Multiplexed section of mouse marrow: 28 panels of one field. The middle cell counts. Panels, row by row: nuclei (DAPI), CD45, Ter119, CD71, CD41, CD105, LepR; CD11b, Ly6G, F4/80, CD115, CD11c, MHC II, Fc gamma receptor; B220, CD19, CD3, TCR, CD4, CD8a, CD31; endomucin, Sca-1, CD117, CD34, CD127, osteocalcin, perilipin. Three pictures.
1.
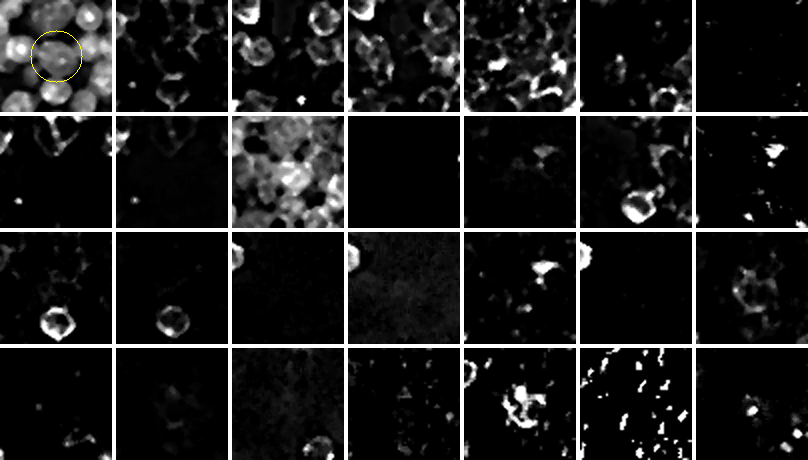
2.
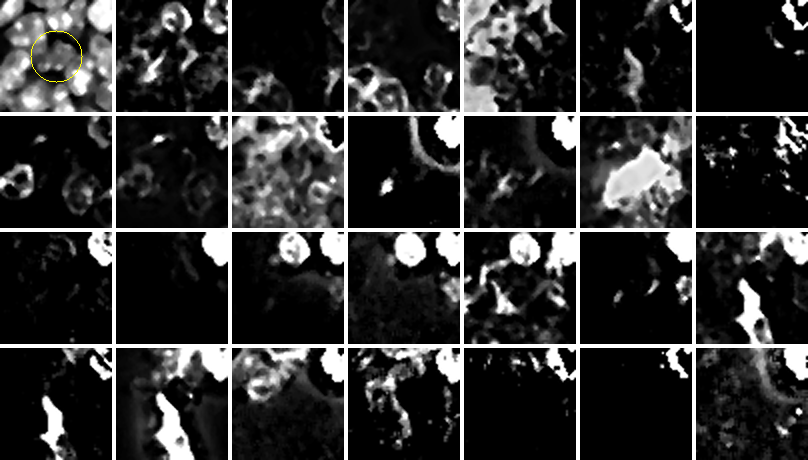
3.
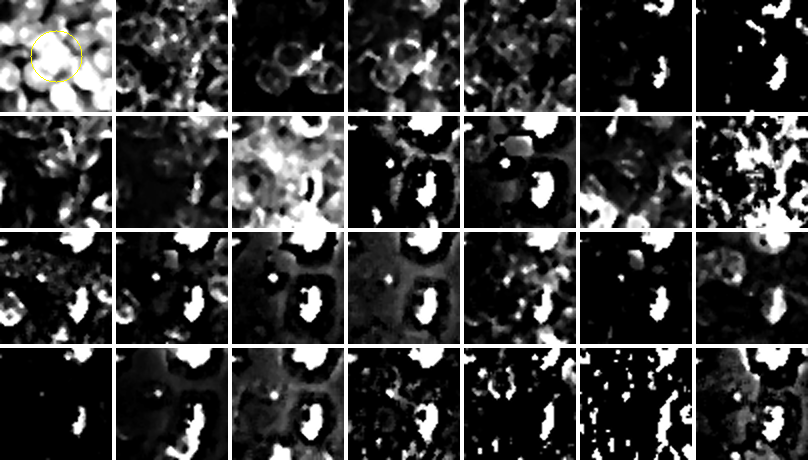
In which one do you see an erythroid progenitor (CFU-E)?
In picture 3.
